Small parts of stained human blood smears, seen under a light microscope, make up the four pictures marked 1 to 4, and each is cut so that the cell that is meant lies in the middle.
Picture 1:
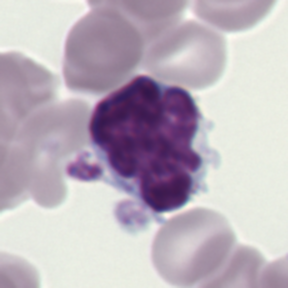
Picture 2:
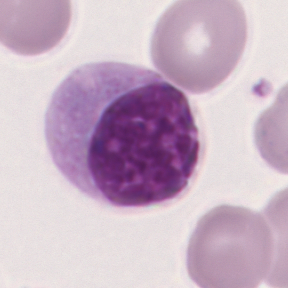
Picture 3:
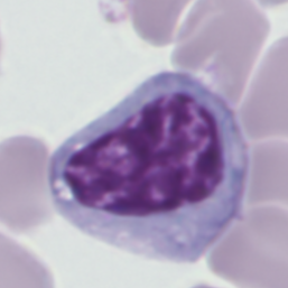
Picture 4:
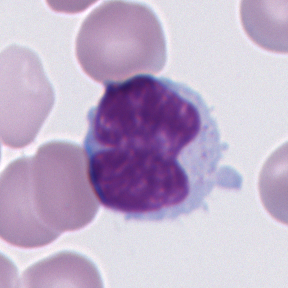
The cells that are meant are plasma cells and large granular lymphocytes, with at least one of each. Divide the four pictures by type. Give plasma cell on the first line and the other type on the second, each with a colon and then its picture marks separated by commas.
plasma cell: 2, 3
large granular lymphocyte: 1, 4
